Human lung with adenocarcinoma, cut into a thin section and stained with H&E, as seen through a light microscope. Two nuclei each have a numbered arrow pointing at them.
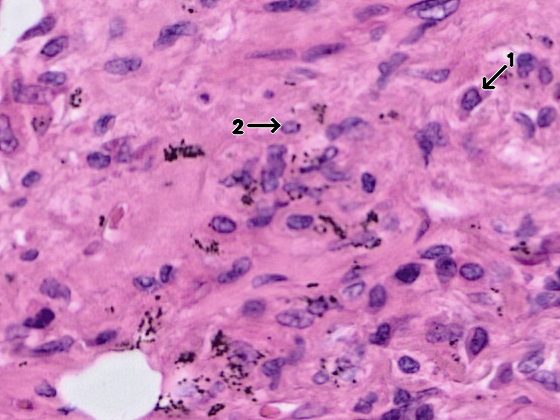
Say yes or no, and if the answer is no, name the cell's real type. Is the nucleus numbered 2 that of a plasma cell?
No, it is a mast cell.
